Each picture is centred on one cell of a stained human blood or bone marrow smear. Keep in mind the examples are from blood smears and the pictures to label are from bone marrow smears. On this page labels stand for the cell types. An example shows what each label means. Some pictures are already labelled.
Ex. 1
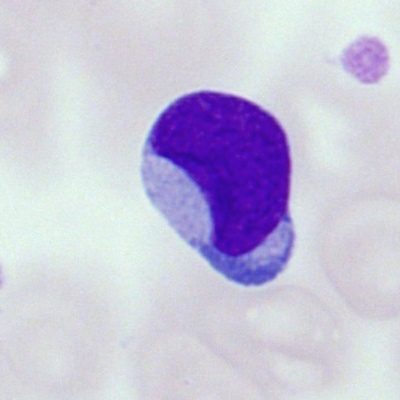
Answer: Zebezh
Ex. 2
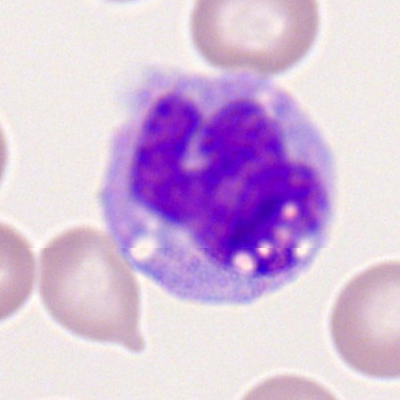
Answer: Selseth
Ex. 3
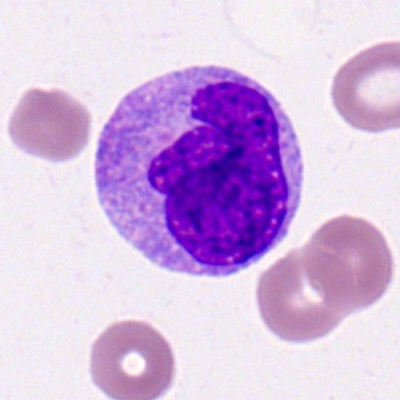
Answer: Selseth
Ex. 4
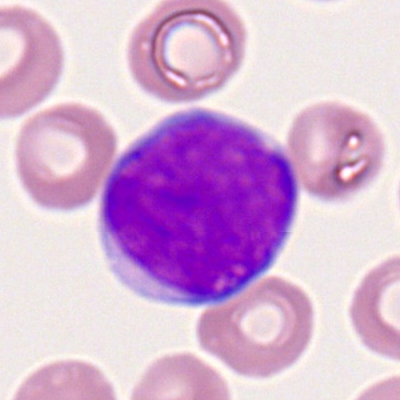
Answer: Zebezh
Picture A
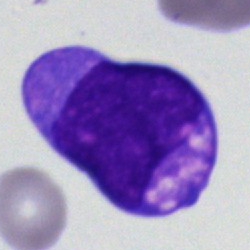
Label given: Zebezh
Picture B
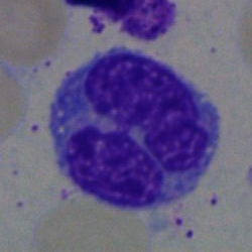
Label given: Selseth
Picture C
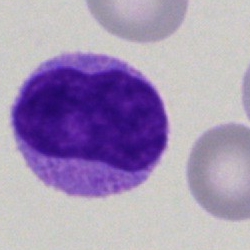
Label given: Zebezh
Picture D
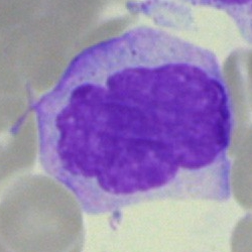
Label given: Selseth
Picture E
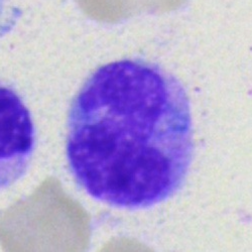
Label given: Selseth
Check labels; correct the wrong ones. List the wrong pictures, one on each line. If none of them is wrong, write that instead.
C is labelled Zebezh; correct label: Selseth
